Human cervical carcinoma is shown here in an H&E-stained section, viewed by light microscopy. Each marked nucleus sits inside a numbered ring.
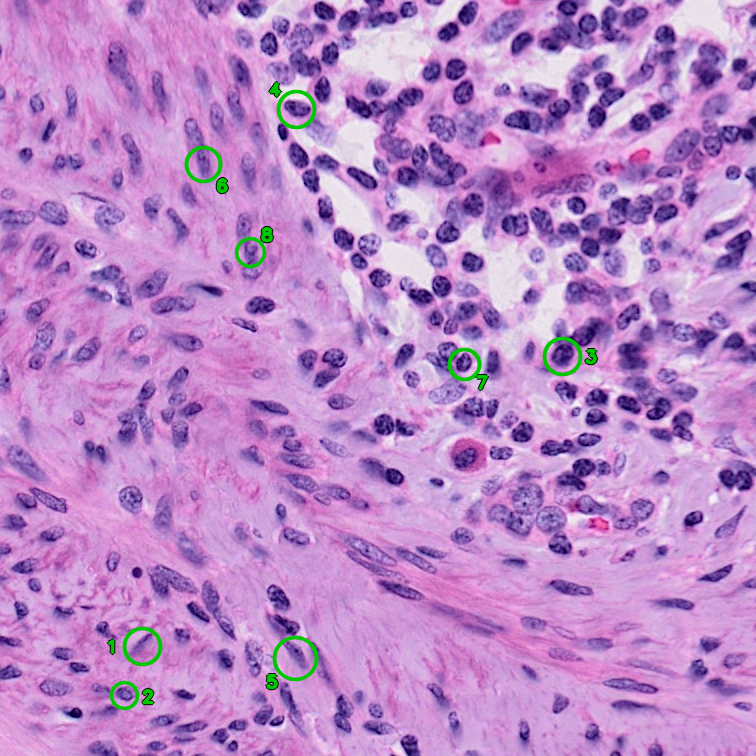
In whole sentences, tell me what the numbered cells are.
Cells 1, 2, 6 and 8 are smooth muscle cells. Cells 3, 4 and 7 are lymphocytes. Cell 5 is a fibroblast.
